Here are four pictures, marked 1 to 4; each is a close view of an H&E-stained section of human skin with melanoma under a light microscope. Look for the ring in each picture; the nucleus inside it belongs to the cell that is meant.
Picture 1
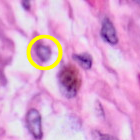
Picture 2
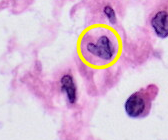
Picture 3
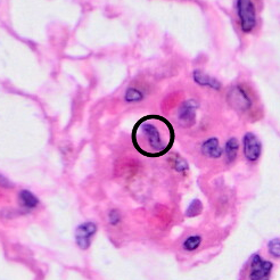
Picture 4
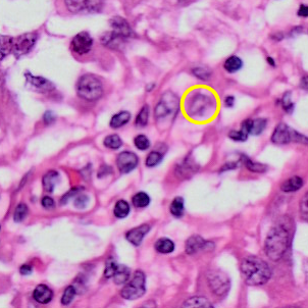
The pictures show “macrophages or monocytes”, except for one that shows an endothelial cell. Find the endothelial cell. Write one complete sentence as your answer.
The endothelial cell is the one in picture 4.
